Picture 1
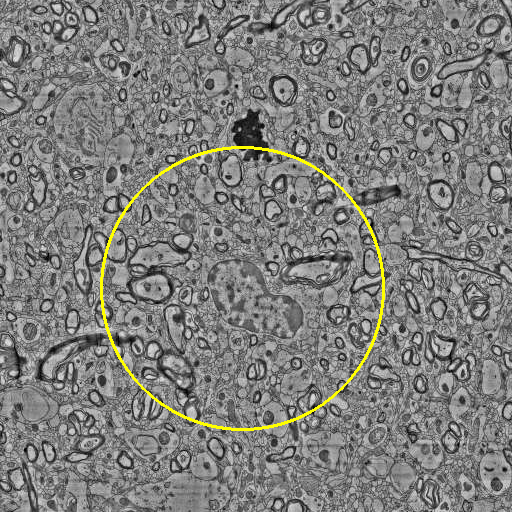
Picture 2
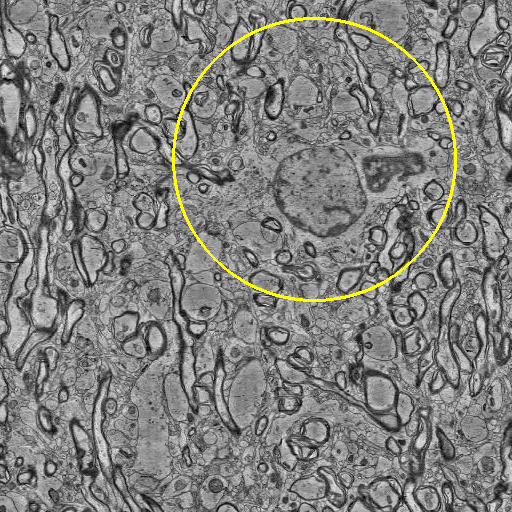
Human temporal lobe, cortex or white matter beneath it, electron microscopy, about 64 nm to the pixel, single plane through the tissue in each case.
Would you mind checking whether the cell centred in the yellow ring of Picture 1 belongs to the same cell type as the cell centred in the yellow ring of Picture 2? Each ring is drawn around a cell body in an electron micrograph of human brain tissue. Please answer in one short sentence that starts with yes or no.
Yes, both cells are of the same type.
